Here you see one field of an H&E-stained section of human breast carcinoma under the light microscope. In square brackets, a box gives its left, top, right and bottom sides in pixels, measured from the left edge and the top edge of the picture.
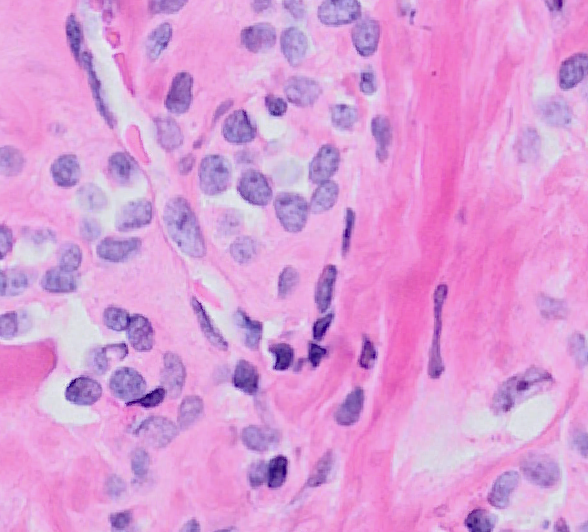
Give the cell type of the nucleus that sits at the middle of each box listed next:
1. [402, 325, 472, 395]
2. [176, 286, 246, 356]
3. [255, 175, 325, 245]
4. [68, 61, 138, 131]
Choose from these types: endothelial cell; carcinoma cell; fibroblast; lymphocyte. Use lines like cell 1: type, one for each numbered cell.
cell 1: fibroblast
cell 2: endothelial cell
cell 3: carcinoma cell
cell 4: endothelial cell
